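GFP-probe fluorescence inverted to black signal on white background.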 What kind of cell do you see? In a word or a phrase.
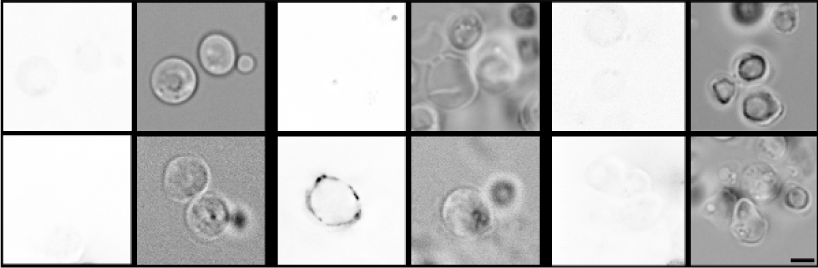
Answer: Yeast cells.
